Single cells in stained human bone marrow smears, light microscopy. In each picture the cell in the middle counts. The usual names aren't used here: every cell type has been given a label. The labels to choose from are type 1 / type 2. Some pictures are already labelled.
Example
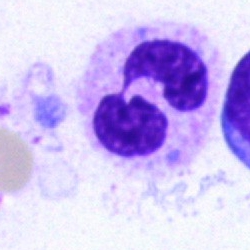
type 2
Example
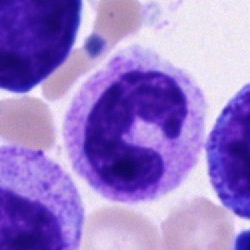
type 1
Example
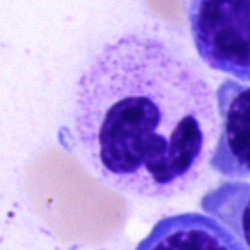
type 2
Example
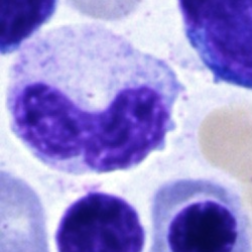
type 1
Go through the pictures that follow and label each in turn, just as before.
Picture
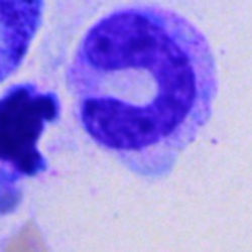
type 1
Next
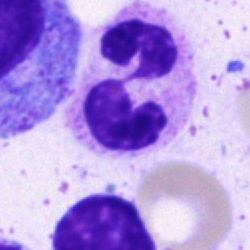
type 2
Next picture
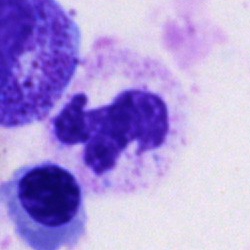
type 2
